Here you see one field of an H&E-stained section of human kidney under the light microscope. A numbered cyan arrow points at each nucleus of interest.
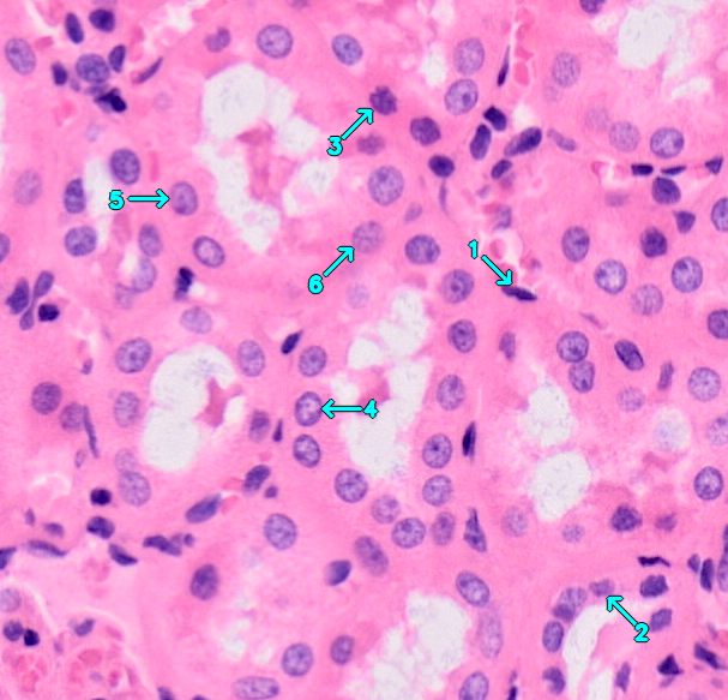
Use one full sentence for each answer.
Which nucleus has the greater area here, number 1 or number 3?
The larger nucleus is 3, at roughly 1.5 times the area of 1.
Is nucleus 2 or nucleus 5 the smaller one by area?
With nucleus 5 about 2 times its size, nucleus 2 is the smaller of the two.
